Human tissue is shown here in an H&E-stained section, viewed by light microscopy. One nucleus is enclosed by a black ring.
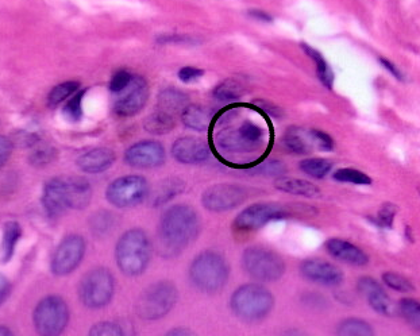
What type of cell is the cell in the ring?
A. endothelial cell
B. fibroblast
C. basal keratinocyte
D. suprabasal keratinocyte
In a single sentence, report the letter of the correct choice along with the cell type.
Option C holds, since the cell in the ring is a basal keratinocyte.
